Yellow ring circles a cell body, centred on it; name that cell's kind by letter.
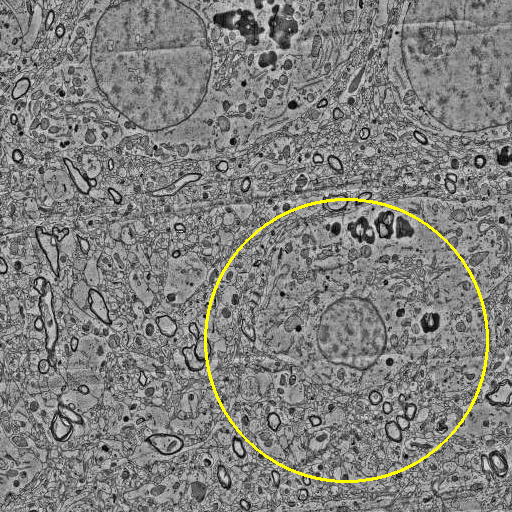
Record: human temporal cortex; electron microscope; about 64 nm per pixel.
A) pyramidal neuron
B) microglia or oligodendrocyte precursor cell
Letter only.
A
